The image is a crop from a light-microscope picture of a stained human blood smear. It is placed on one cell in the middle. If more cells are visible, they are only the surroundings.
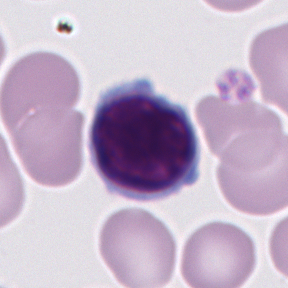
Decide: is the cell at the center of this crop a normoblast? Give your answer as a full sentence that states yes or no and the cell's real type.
No, the cell in the middle is not a normoblast but a typical lymphocyte.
